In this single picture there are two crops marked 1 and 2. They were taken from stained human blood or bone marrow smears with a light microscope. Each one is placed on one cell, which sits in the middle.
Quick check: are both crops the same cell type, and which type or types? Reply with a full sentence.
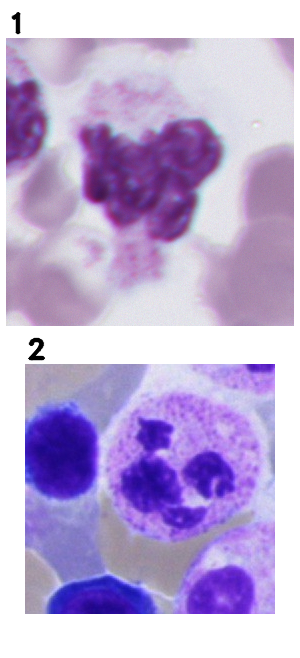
Yes, in the middle of both crops, segmented neutrophils are shown.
